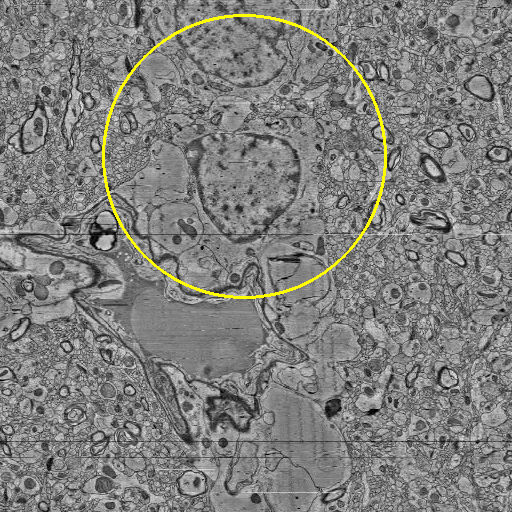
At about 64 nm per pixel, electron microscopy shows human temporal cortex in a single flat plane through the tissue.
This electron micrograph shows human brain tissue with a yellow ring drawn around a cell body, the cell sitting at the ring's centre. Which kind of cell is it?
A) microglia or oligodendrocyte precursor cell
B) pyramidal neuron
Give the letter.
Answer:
A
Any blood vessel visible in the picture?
Yes.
